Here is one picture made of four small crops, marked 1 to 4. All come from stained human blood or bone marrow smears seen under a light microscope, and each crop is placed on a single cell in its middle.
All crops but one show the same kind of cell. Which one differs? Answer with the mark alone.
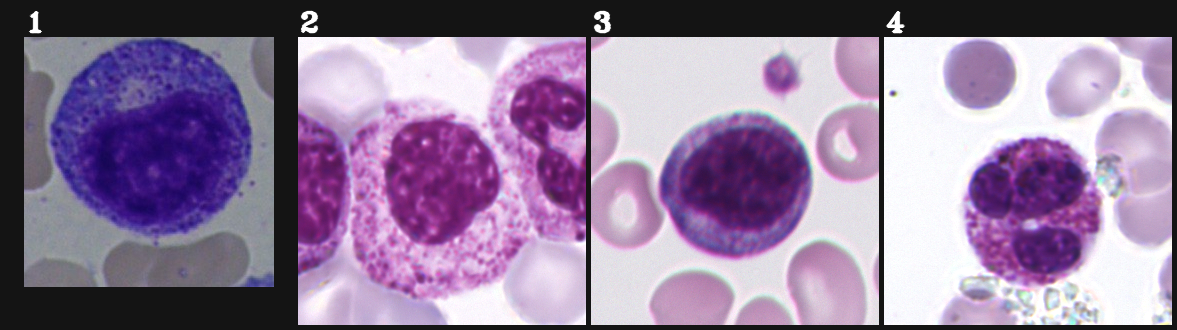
4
